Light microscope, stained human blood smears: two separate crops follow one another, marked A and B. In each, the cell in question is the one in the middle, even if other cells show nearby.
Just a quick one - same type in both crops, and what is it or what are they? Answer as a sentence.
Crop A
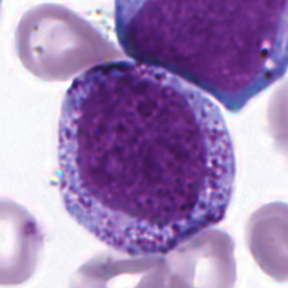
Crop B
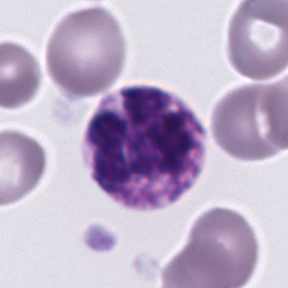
No, the cell at the middle of crop A is a promyelocyte, while crop B centres on a basophil.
